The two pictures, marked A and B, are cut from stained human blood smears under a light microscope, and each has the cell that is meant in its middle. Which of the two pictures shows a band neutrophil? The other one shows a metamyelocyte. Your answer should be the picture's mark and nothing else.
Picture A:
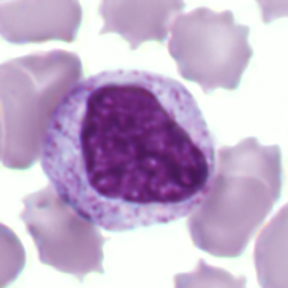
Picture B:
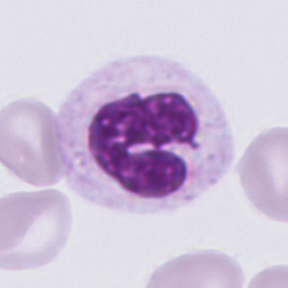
B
